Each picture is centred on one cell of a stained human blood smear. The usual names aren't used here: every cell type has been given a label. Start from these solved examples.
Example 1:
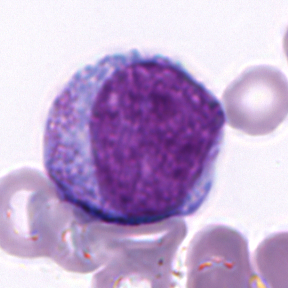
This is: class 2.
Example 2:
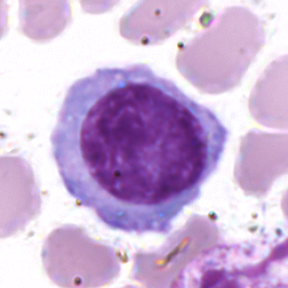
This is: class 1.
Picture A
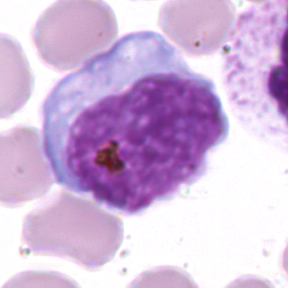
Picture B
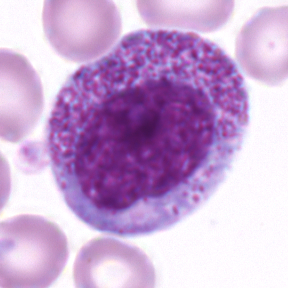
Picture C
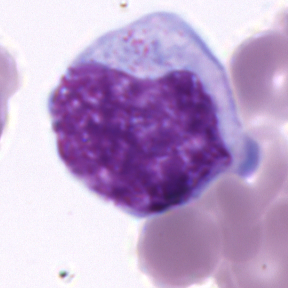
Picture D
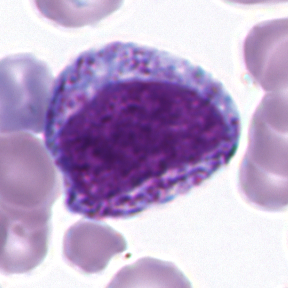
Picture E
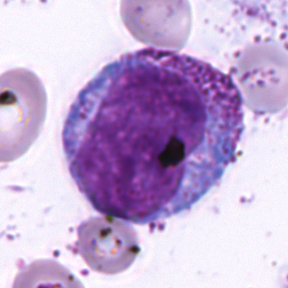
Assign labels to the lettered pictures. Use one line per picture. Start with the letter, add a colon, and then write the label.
A: class 1.
B: class 2.
C: class 2.
D: class 2.
E: class 2.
